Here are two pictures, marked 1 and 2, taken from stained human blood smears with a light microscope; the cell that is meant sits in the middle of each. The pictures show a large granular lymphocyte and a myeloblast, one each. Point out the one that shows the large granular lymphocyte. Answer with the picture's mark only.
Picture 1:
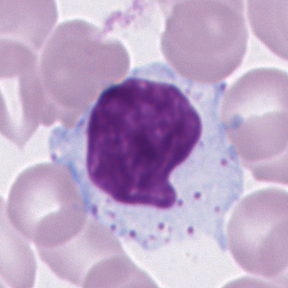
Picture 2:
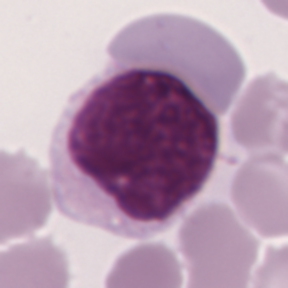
1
